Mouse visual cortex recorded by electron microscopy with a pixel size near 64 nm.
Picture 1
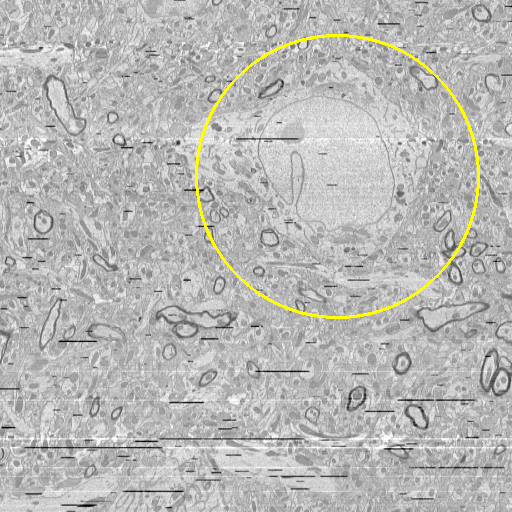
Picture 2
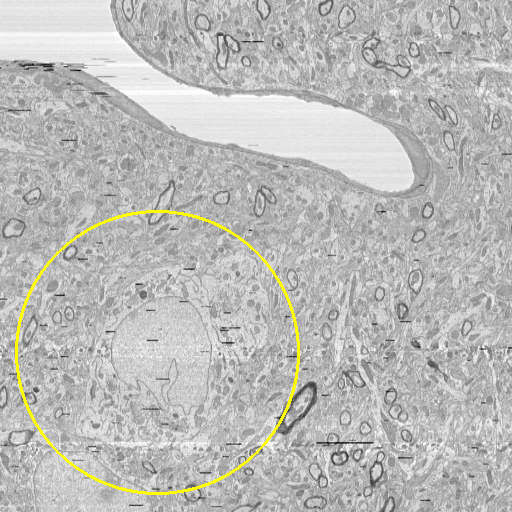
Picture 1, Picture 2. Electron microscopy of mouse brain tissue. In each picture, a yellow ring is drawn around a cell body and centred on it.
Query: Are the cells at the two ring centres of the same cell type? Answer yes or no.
no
